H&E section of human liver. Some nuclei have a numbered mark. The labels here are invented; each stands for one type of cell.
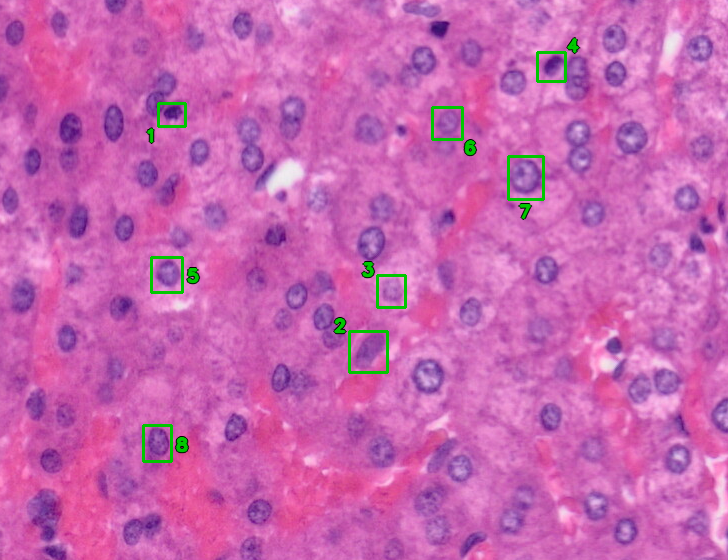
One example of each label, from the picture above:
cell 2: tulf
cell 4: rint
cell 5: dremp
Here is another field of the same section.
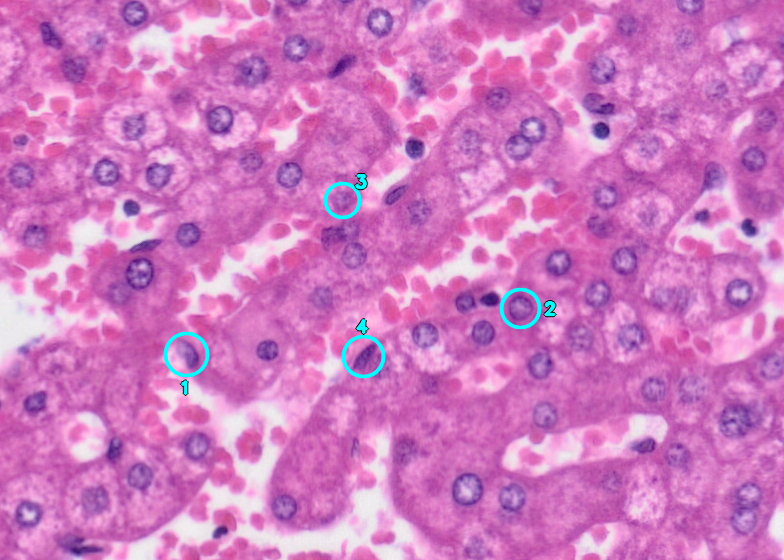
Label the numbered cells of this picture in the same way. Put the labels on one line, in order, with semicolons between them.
tulf; dremp; dremp; rint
